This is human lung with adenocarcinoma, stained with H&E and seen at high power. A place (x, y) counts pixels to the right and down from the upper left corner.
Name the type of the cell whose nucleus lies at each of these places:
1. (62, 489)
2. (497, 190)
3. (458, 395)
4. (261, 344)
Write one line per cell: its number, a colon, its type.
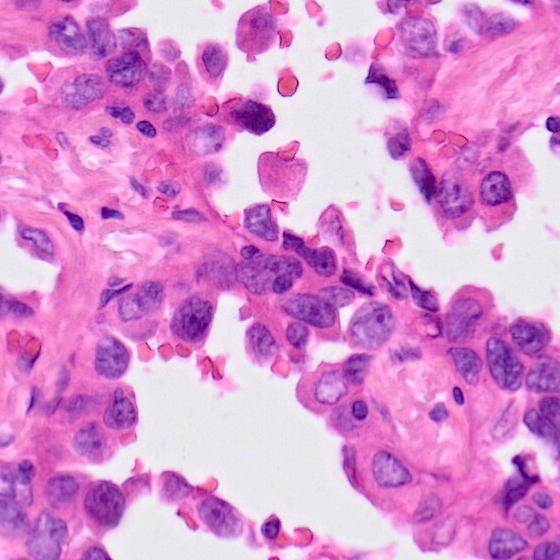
1: carcinoma cell
2: carcinoma cell
3: lymphocyte
4: carcinoma cell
